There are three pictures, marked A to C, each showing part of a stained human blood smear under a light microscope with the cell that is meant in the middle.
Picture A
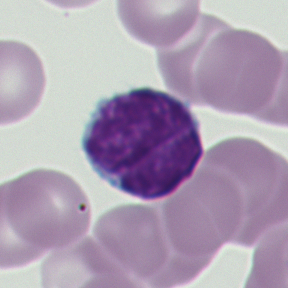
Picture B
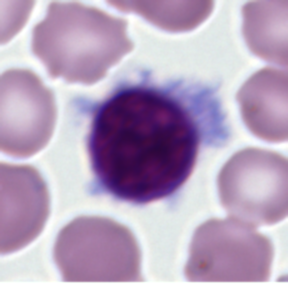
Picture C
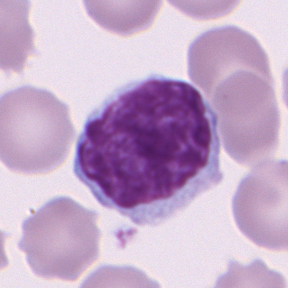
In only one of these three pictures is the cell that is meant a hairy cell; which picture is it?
B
